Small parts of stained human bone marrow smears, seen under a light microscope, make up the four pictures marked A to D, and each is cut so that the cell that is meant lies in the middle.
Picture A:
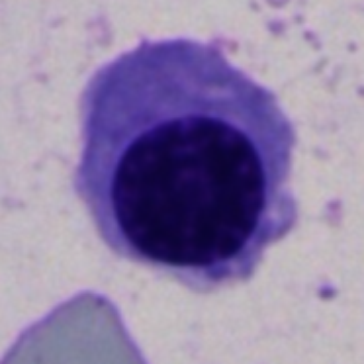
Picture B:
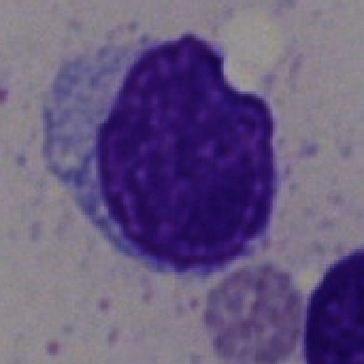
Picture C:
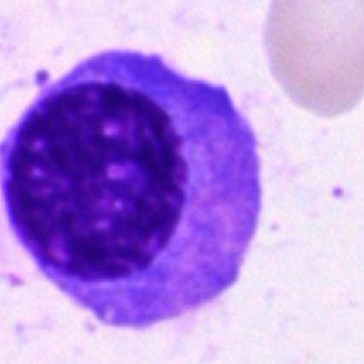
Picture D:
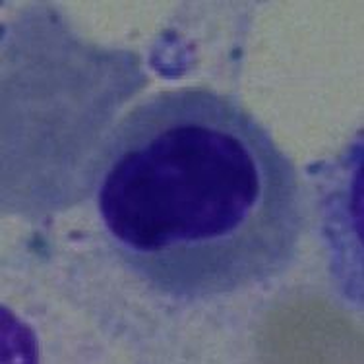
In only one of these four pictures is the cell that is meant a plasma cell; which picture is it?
C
